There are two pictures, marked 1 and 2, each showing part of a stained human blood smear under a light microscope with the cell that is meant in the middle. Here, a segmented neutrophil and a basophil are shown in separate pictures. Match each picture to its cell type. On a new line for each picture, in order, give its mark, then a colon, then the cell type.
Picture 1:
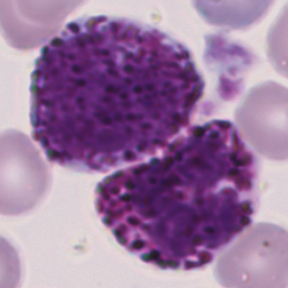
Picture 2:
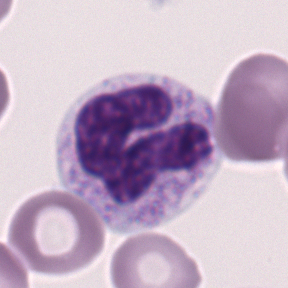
1: basophil
2: segmented neutrophil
